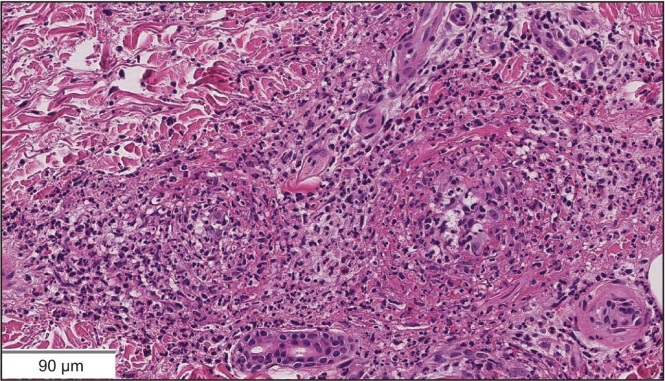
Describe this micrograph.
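This is dermis of skin with a dense inflammatory cell infiltrate centred on small blood vessels. The infiltrate consists of numerous small cells with dark purple, irregular nuclei, packed closely together and spreading from around the vessels into the surrounding tissue. Small vessels with pink walls and plump lining cells are seen within and beside the infiltrate. At the upper left, pink collagen bundles with less cellularity border the inflamed area.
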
